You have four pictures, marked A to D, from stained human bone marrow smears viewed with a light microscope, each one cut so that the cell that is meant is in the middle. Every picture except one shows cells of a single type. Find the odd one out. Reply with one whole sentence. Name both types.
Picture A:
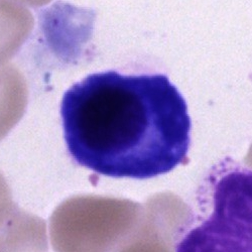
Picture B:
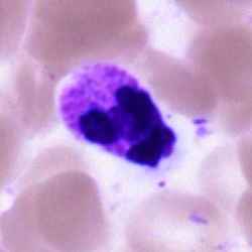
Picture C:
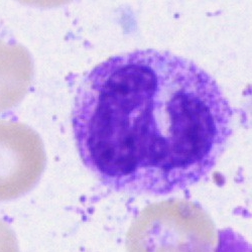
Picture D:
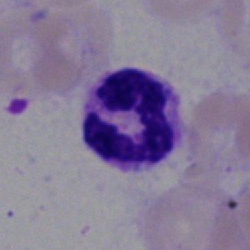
Unlike the rest, which show segmented neutrophils, picture A shows a plasma cell.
